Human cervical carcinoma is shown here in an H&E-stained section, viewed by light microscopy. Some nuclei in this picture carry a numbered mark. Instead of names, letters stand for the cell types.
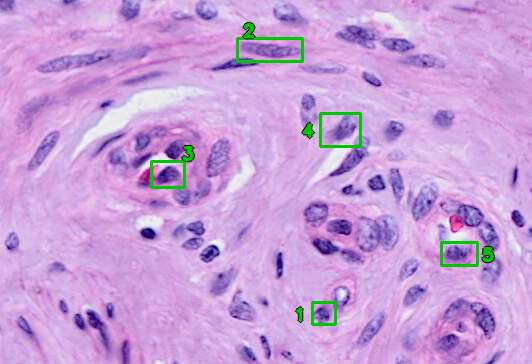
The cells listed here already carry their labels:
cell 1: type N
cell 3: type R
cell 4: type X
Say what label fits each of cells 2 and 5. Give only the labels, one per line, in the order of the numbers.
type N
type R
